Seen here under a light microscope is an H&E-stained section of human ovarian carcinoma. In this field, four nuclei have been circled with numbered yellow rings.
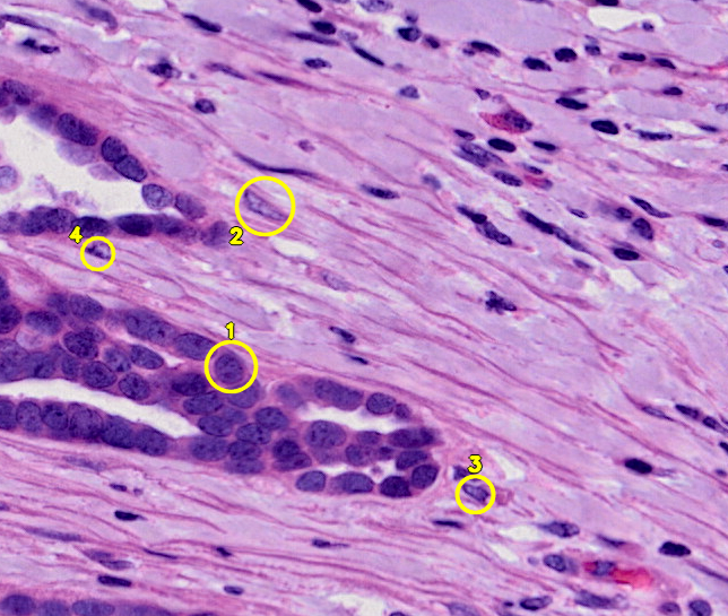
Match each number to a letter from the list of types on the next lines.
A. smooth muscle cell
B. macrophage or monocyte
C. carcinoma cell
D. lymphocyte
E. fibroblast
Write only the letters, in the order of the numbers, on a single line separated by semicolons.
C; E; E; E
